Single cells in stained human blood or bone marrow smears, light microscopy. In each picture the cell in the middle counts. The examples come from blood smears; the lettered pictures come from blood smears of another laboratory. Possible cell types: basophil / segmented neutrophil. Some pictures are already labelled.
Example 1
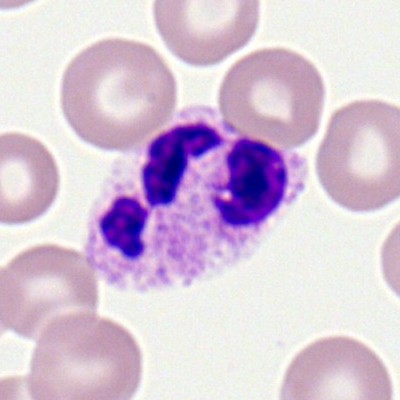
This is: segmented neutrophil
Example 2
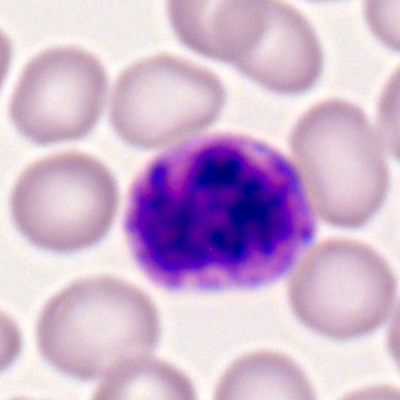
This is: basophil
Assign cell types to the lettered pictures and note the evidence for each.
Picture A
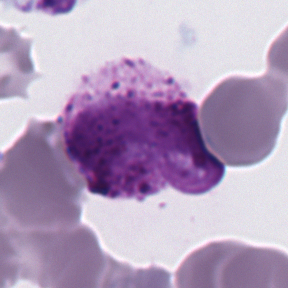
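Label: basophil. Coarse dark purple granules are scattered across the cell.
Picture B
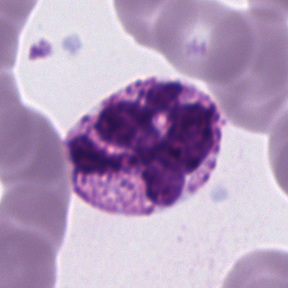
Label: basophil. Coarse purple granules are scattered through the cytoplasm and along the cell edge.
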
